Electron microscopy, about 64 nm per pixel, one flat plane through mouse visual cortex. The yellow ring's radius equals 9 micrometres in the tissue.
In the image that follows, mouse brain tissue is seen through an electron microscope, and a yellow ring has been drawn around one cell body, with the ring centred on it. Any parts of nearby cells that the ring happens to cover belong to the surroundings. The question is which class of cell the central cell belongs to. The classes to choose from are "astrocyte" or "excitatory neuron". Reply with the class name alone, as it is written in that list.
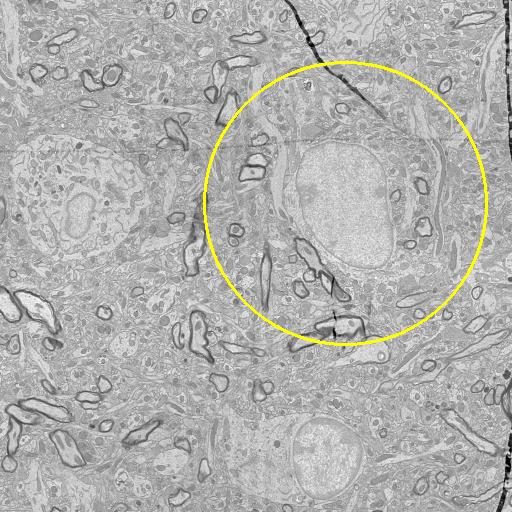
astrocyte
